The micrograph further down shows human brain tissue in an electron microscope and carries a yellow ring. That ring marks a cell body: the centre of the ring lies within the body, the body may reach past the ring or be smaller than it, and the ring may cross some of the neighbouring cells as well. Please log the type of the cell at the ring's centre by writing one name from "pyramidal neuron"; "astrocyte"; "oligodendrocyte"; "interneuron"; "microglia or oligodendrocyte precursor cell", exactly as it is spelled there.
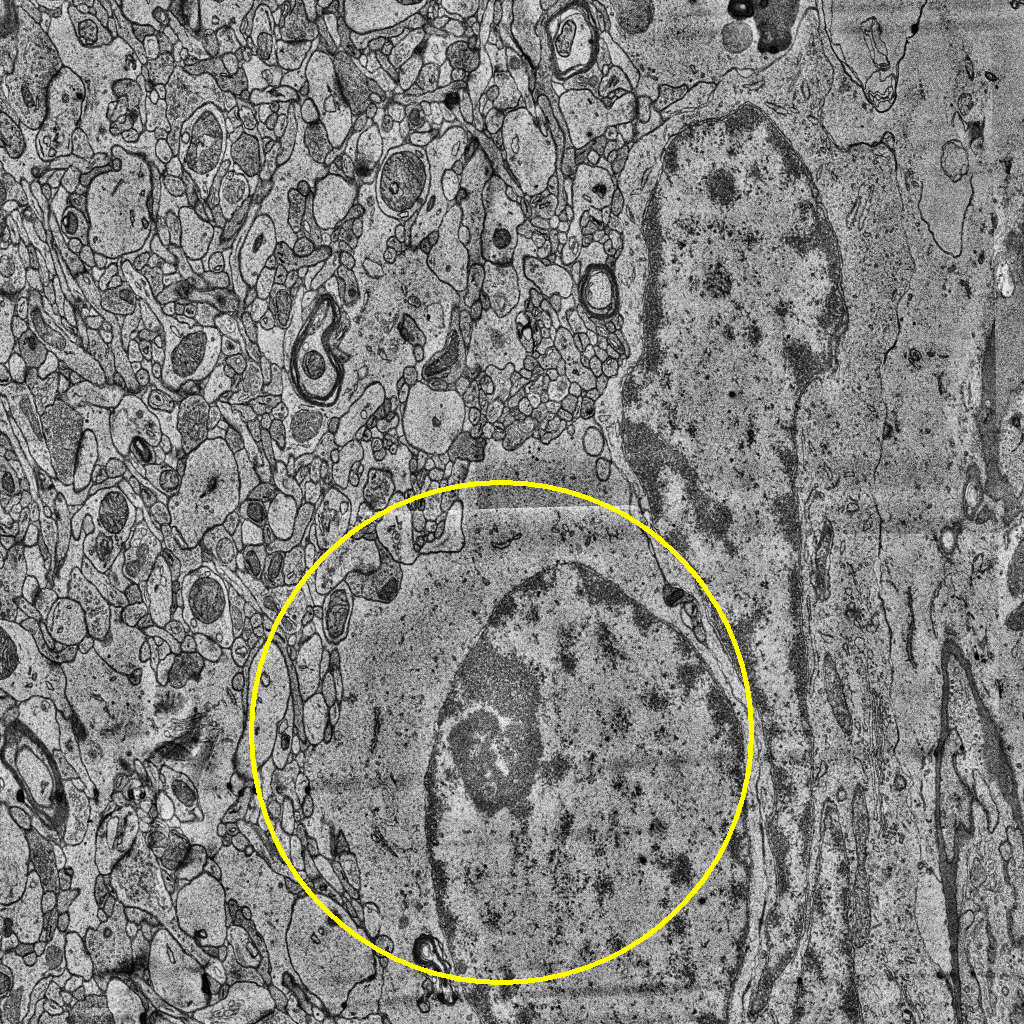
astrocyte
